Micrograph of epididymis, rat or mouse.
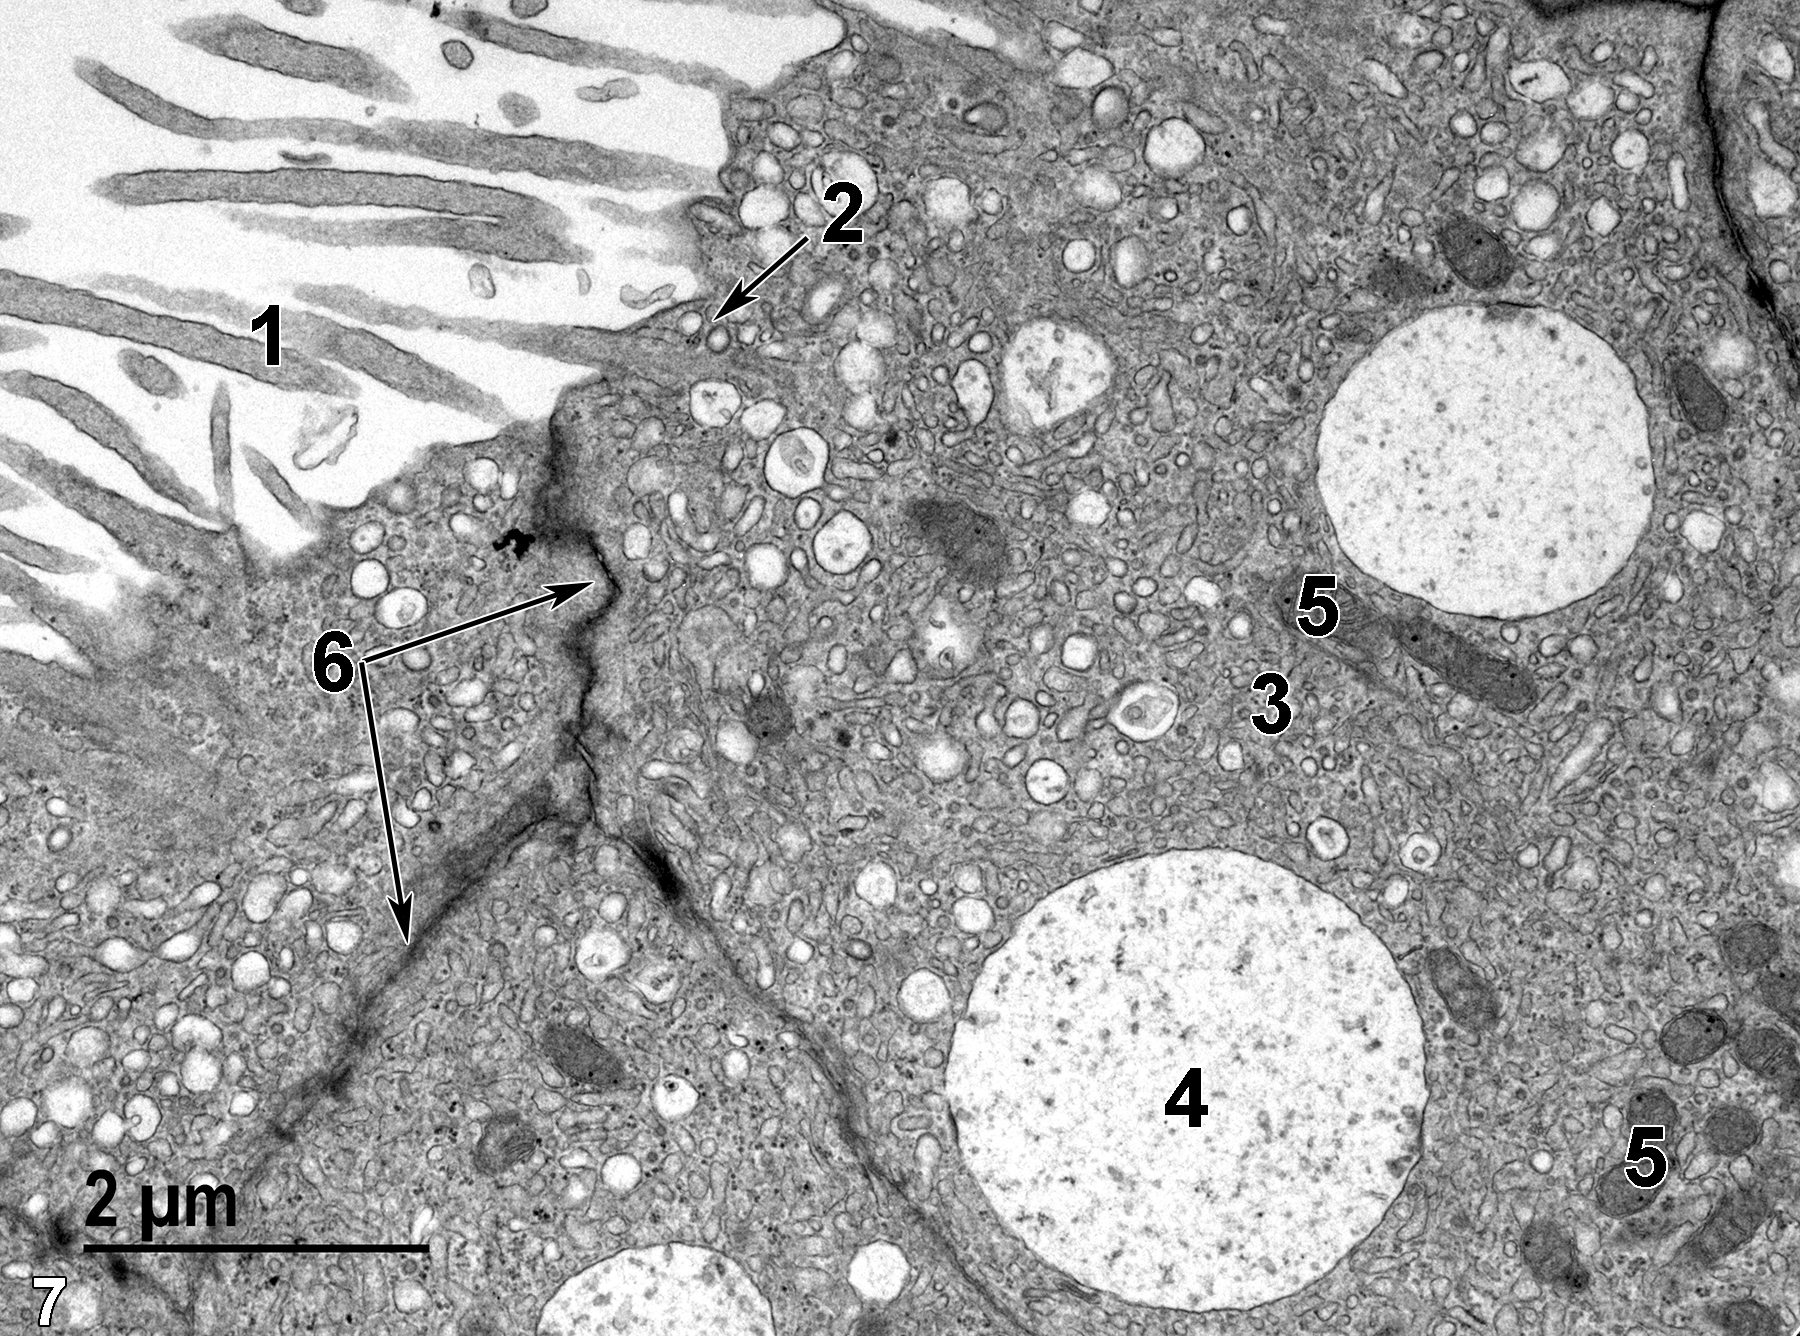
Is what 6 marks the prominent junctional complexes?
Yes, 6 marks the prominent junctional complexes.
